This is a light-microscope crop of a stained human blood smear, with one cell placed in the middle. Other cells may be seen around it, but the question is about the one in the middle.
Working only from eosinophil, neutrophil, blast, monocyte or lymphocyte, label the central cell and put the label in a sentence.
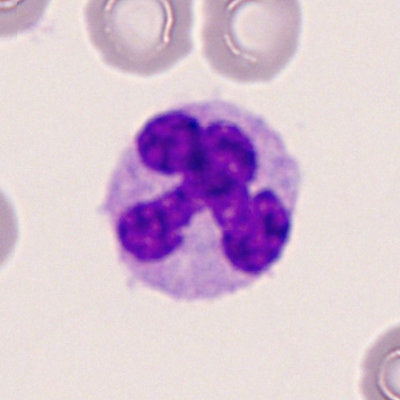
The cell featured at the centre of this crop is a monocyte.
